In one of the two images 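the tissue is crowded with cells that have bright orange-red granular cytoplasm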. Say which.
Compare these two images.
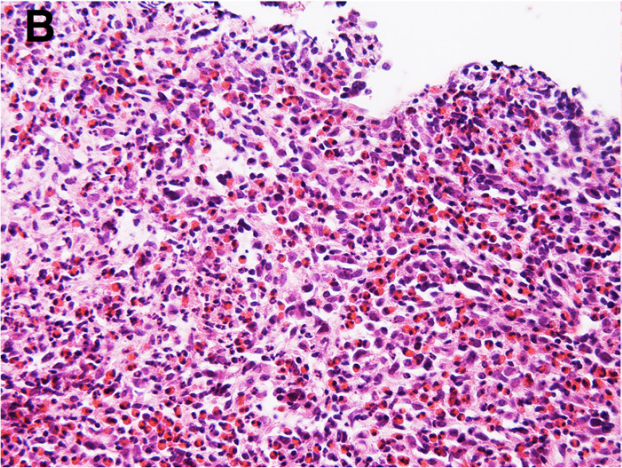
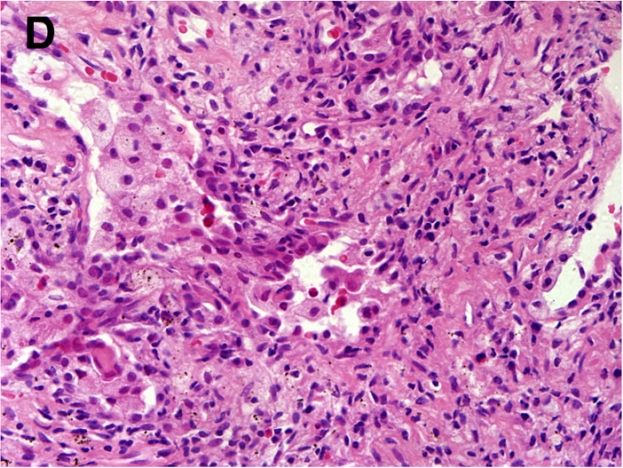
The first image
